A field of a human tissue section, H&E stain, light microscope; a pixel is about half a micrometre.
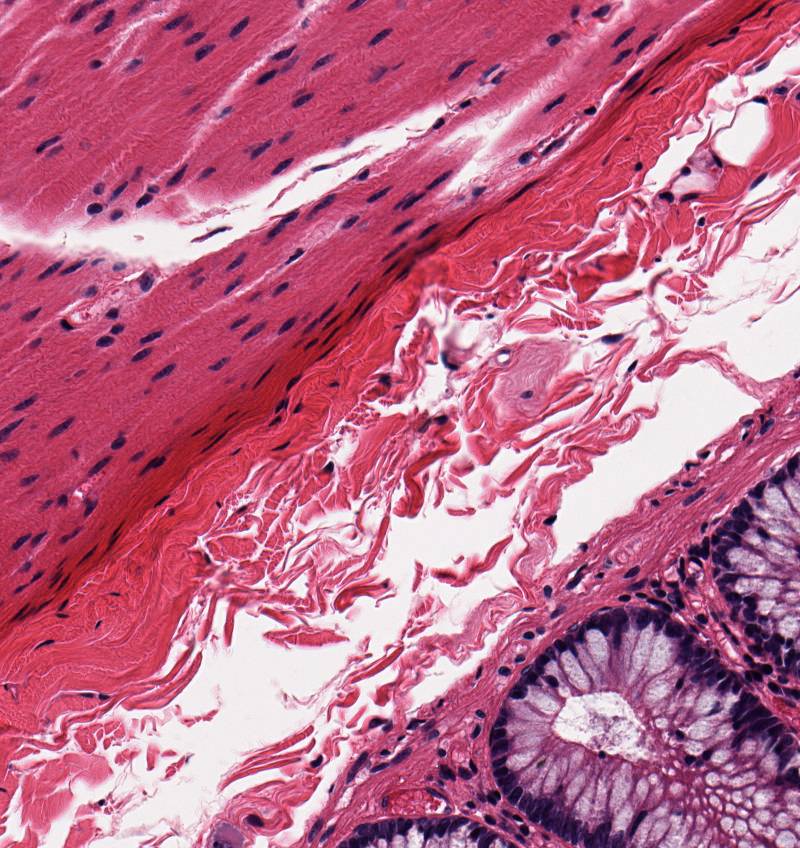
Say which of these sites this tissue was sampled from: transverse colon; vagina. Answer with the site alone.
transverse colon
